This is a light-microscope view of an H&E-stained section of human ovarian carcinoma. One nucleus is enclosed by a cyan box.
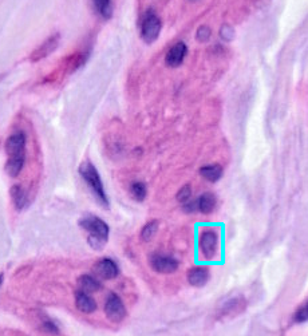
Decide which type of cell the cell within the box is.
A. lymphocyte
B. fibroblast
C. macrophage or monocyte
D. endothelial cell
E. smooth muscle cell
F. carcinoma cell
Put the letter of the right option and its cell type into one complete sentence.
It is option E that correctly calls the cell within the box a smooth muscle cell.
